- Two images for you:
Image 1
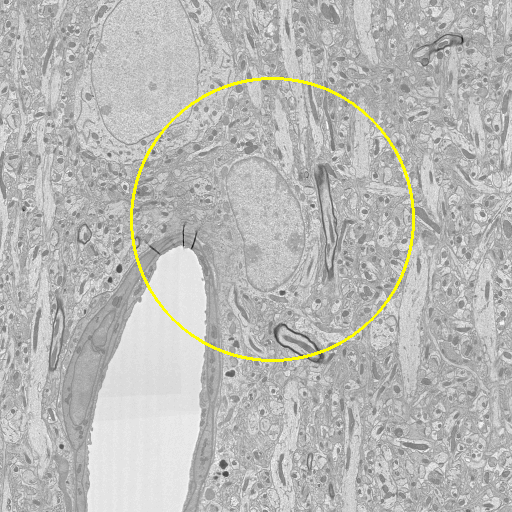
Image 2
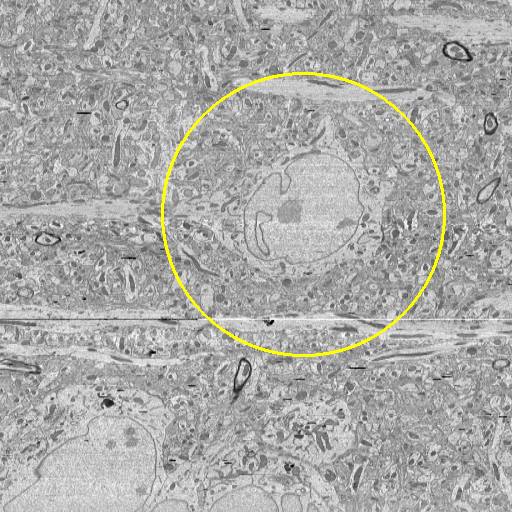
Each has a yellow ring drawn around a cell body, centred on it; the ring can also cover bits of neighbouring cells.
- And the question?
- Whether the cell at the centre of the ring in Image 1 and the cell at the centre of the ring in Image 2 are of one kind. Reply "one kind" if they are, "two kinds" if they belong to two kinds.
two kinds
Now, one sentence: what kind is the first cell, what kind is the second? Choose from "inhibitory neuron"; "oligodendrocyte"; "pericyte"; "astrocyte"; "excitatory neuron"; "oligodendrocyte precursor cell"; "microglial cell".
The first picture has an astrocyte at its ring centre, and the second has an excitatory neuron.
